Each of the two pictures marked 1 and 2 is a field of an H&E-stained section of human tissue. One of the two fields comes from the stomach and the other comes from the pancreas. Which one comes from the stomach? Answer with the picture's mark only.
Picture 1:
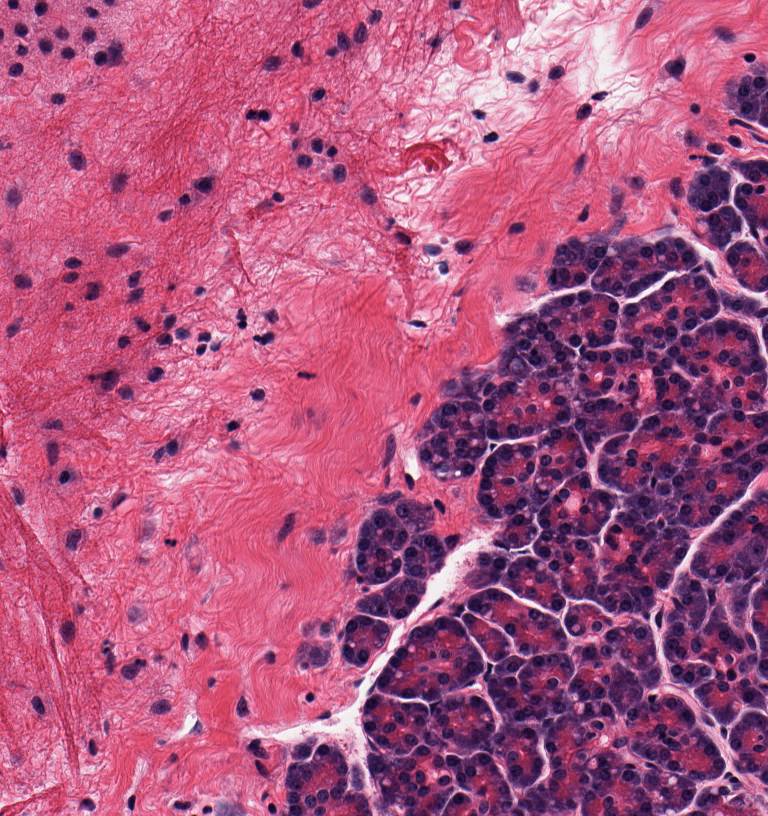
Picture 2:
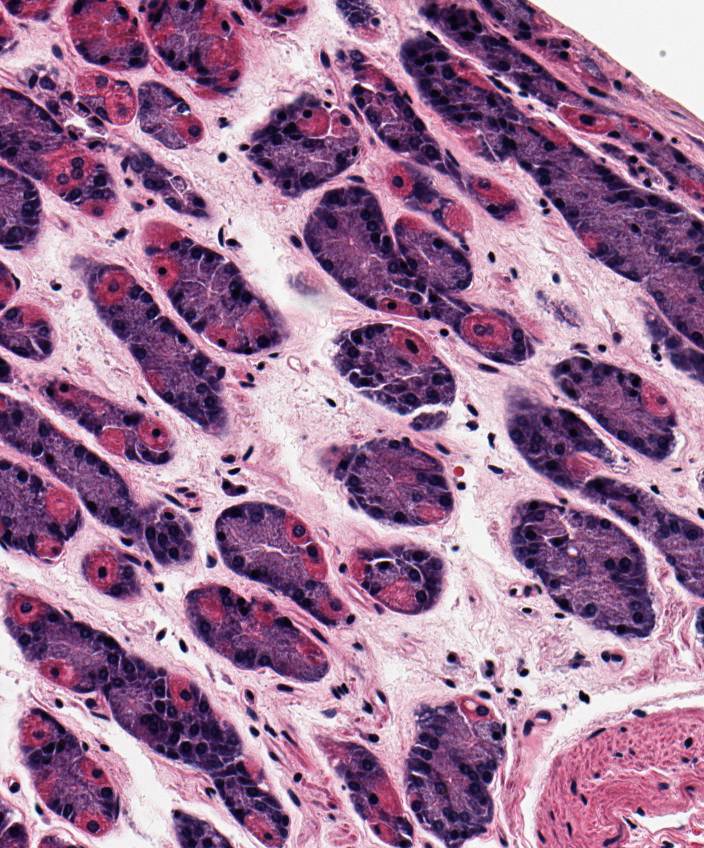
2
